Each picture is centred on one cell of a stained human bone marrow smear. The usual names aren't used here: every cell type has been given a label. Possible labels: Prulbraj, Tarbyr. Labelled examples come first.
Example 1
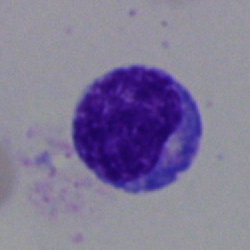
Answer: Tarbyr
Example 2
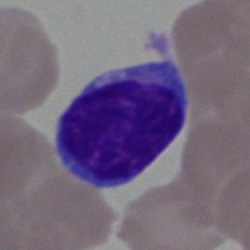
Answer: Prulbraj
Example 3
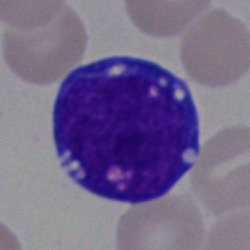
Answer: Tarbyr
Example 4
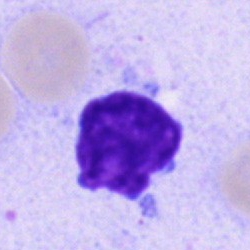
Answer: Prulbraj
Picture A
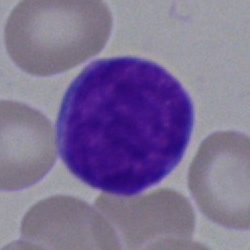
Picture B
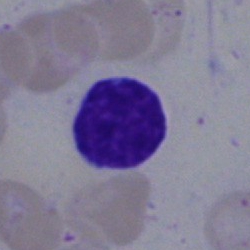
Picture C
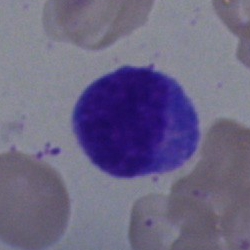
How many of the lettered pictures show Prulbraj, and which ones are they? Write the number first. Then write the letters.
2: B, C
